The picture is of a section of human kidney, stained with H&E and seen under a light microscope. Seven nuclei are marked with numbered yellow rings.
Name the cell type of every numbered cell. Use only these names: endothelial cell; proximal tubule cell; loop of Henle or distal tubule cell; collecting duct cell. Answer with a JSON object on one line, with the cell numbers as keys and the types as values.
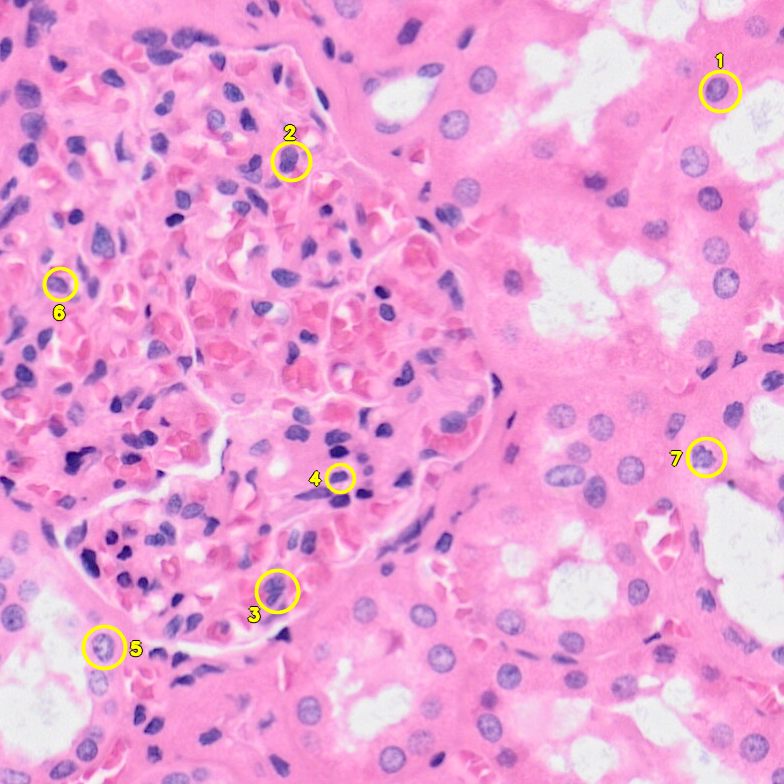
{"1": "proximal tubule cell", "2": "endothelial cell", "3": "endothelial cell", "4": "endothelial cell", "5": "collecting duct cell", "6": "endothelial cell", "7": "loop of Henle or distal tubule cell"}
